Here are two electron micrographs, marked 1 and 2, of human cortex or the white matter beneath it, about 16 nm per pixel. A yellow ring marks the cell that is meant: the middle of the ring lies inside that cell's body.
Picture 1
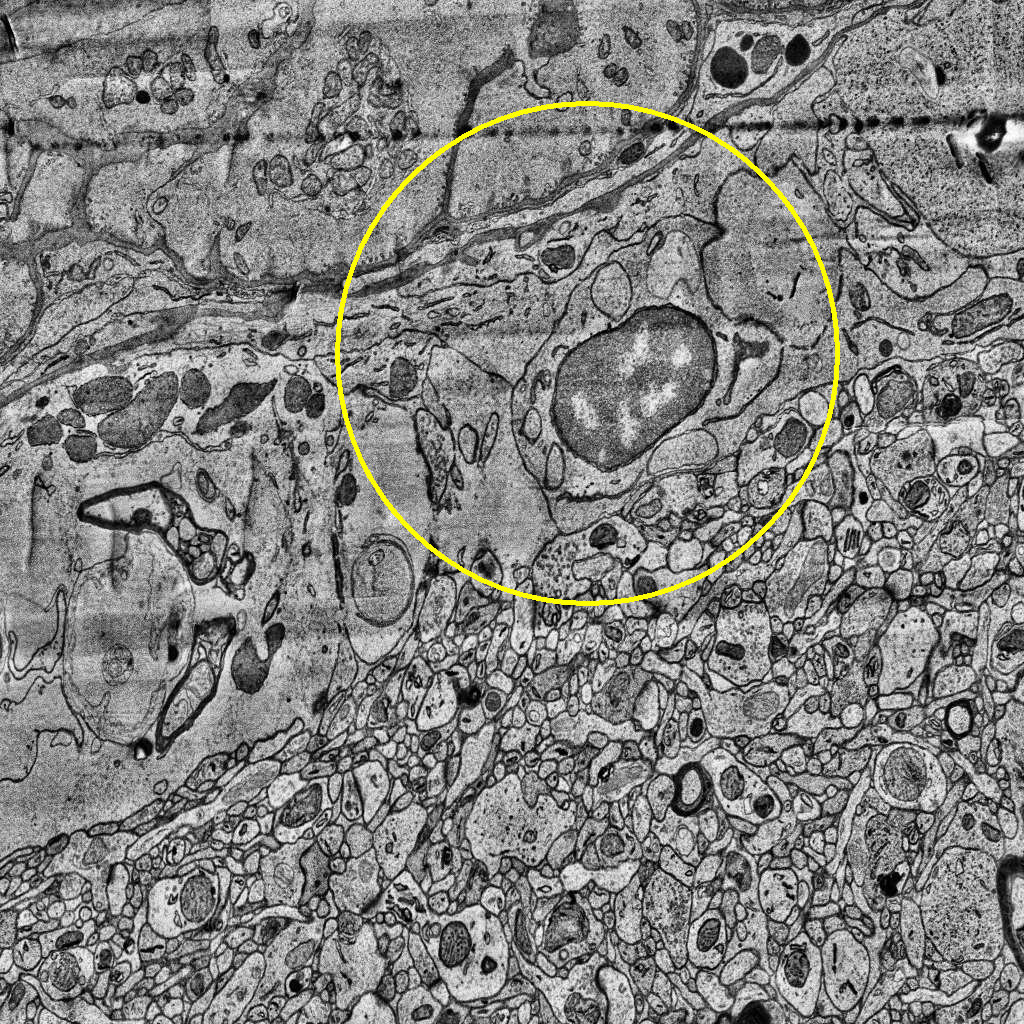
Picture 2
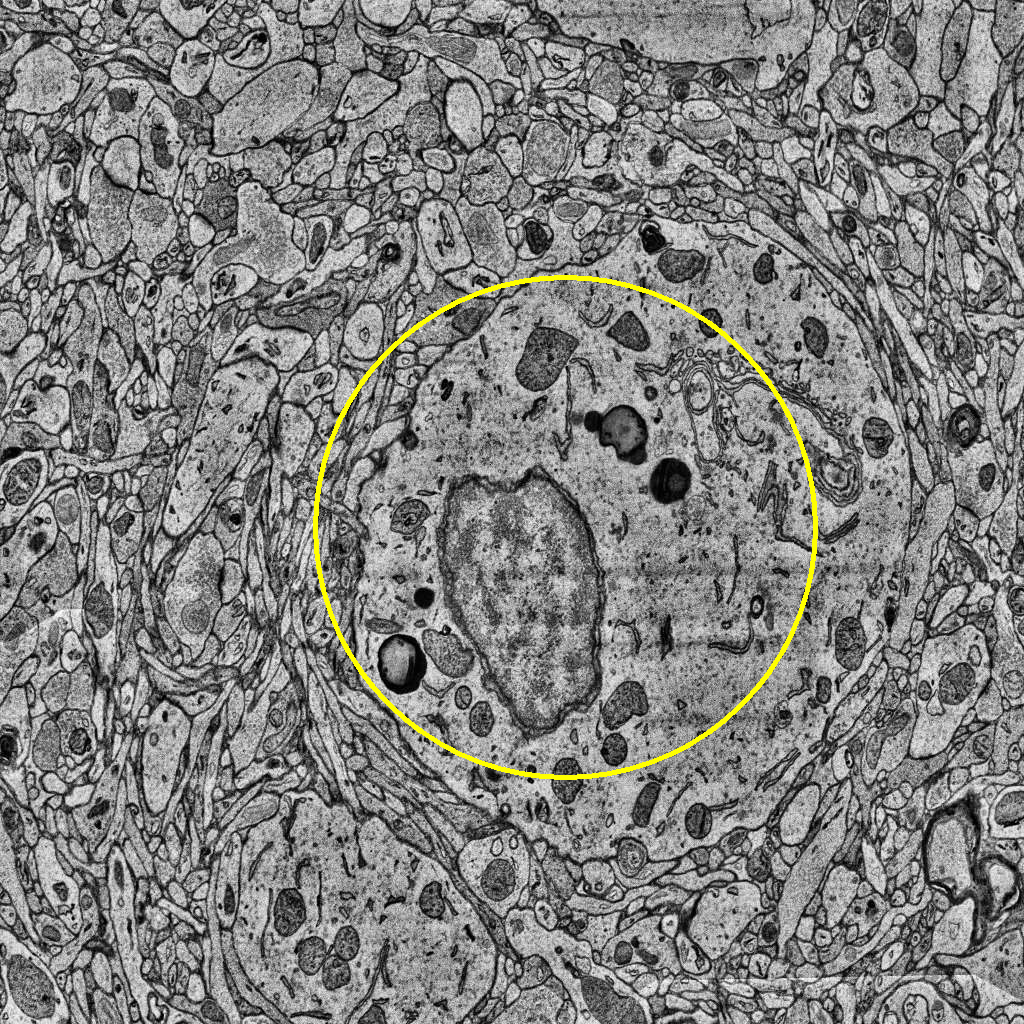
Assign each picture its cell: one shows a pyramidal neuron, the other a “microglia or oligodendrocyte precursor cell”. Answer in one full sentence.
In picture 1 the cell is a “microglia or oligodendrocyte precursor cell”; in picture 2, a pyramidal neuron.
